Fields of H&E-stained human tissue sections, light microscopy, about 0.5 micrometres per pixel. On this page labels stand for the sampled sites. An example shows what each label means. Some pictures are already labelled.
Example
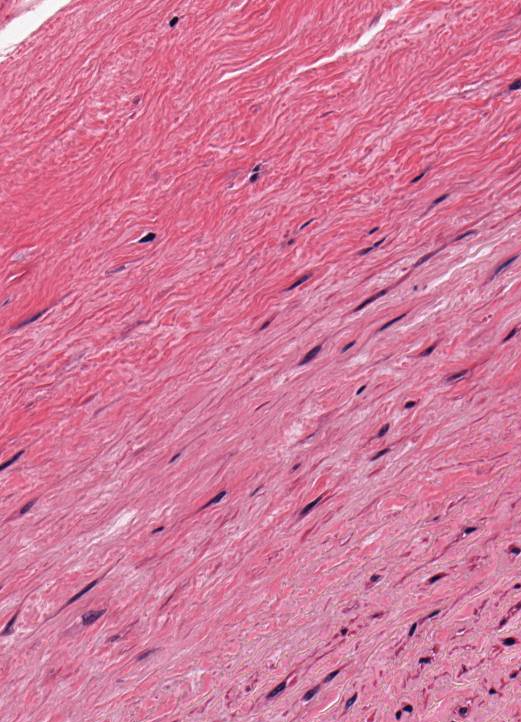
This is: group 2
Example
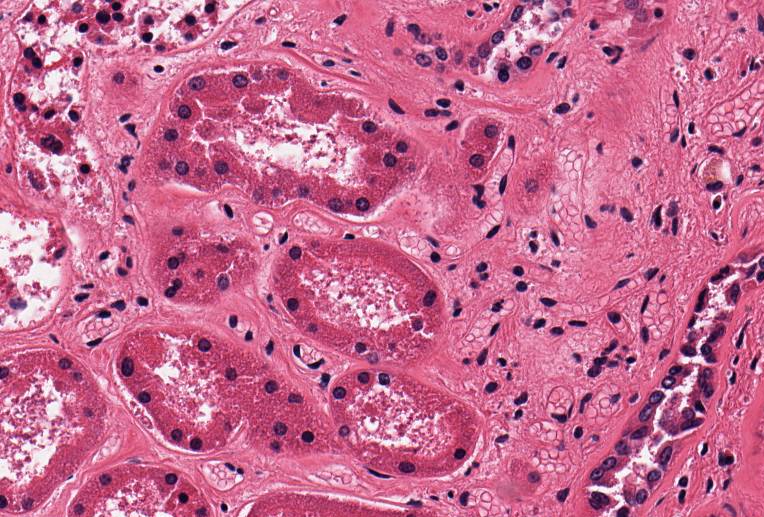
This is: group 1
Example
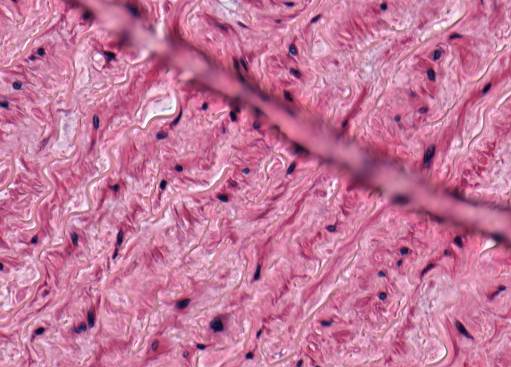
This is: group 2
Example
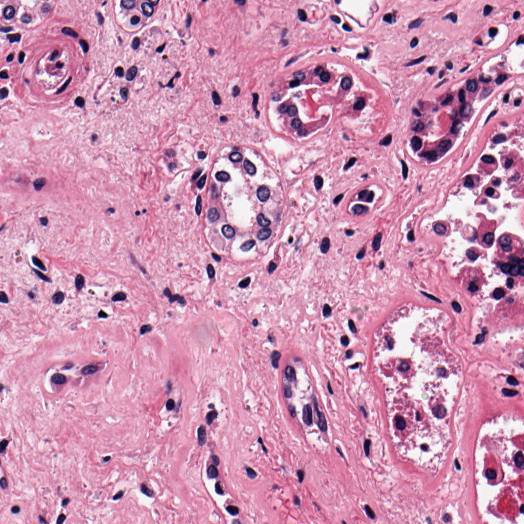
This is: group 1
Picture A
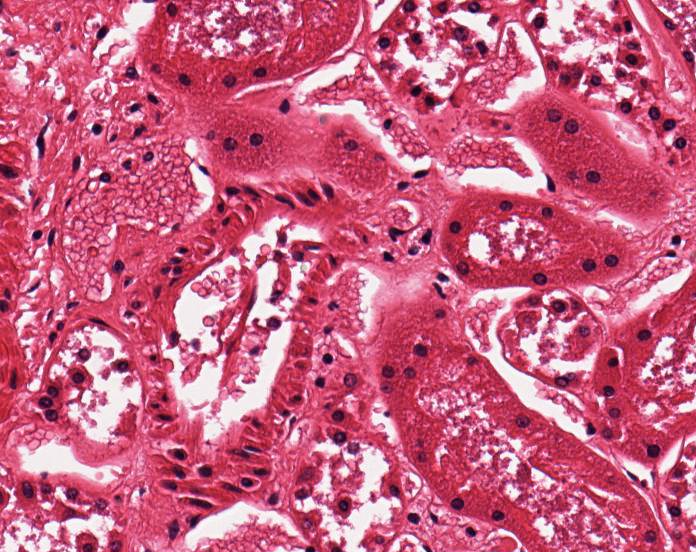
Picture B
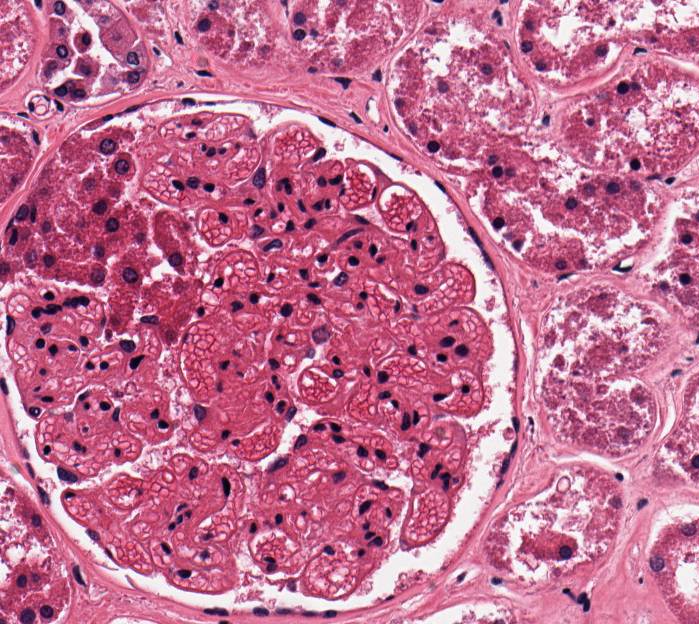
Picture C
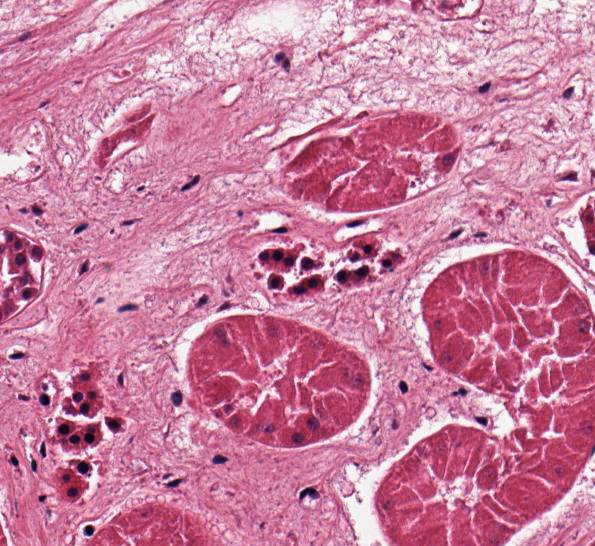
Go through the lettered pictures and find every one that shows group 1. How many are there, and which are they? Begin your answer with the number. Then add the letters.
Count: 3 (A, B, C)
